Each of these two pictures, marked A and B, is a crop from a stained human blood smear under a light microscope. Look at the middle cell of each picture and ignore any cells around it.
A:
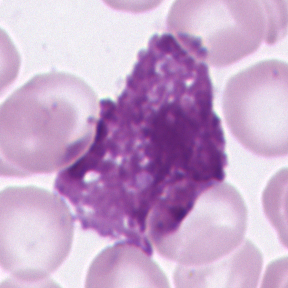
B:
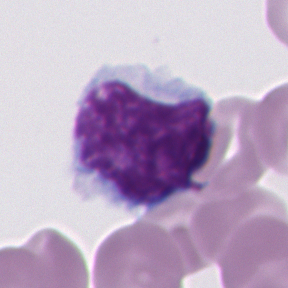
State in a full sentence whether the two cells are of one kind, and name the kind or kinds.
No, on this set crop A shows a smudge cell and crop B shows a typical lymphocyte.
